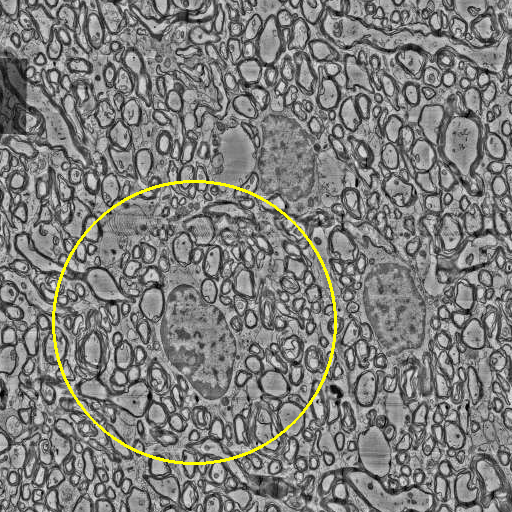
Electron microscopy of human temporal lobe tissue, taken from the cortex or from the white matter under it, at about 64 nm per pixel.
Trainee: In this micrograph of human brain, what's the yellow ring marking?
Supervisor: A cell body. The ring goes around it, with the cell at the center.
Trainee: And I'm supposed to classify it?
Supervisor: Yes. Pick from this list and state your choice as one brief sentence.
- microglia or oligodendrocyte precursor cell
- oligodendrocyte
The cell at the ring's center is a microglial cell or oligodendrocyte precursor cell.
